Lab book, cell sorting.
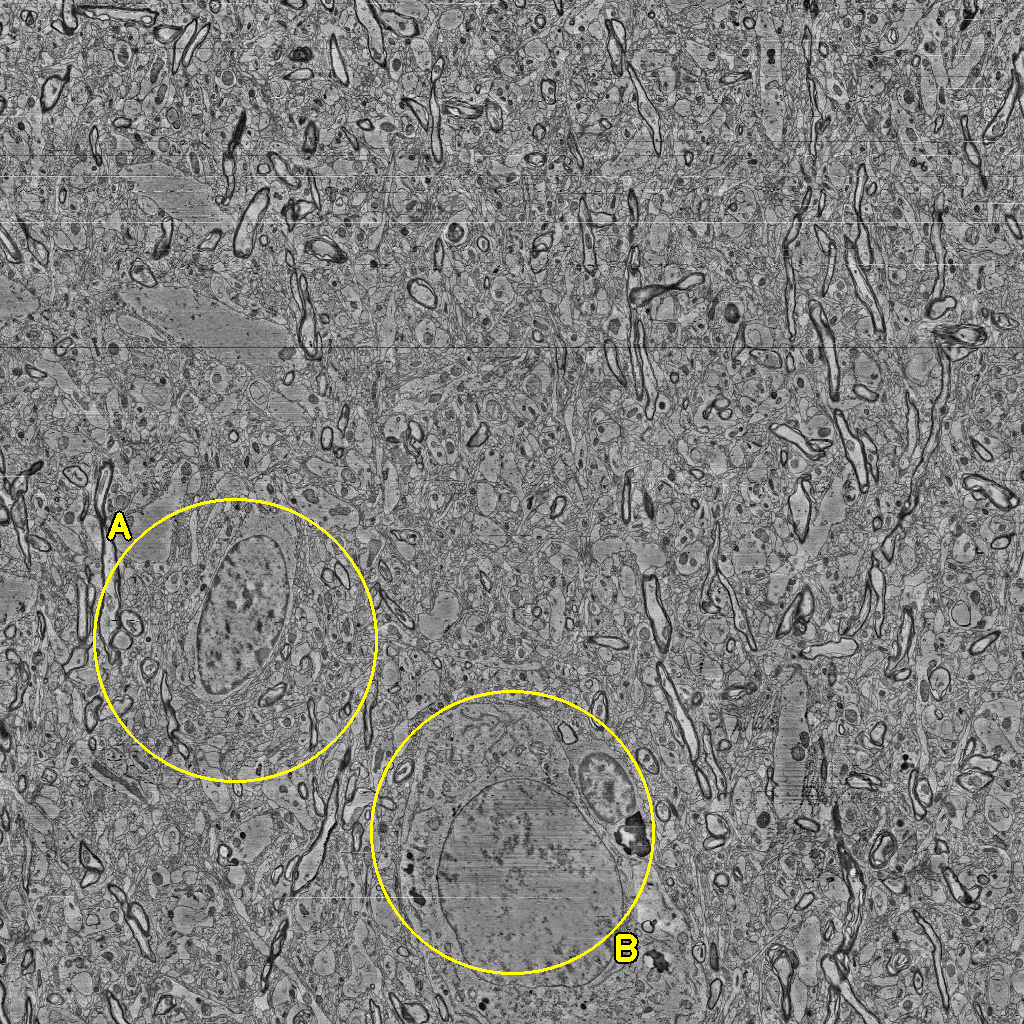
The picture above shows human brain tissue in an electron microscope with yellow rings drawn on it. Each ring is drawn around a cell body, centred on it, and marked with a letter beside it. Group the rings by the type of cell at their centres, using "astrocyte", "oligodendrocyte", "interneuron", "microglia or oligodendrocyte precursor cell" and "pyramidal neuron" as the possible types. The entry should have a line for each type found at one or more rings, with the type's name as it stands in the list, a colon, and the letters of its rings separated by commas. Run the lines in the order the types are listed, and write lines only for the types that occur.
microglia or oligodendrocyte precursor cell: A
pyramidal neuron: B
